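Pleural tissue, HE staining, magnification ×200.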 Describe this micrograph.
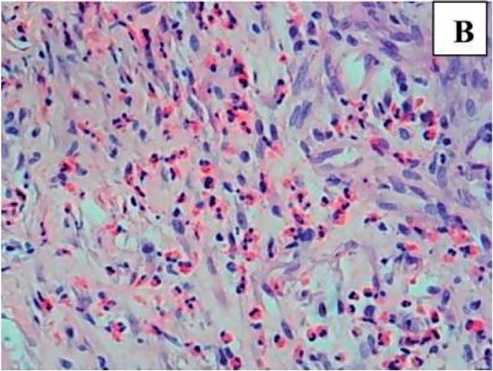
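Fibrous connective tissue heavily infiltrated by eosinophils. The background is a pale pink fibrous stroma in which spindle-shaped cells with elongated, pale purple nuclei run in loosely parallel streams. Scattered densely among them are many rounded cells with bright red-orange cytoplasm and small dark nuclei, lying singly and in small groups throughout the field.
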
